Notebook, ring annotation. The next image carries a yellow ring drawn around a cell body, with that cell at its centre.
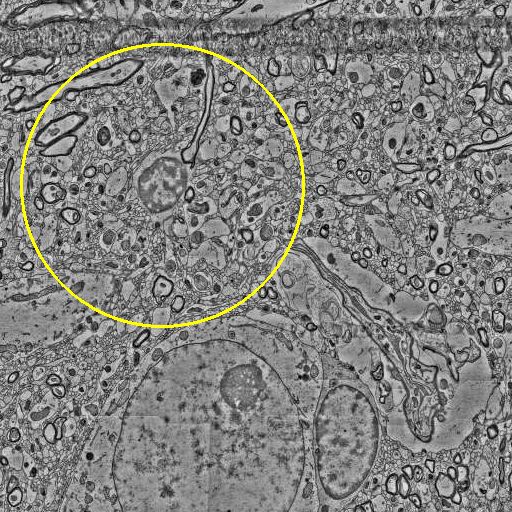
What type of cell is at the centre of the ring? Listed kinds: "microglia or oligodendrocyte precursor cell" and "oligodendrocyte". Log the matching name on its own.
oligodendrocyte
